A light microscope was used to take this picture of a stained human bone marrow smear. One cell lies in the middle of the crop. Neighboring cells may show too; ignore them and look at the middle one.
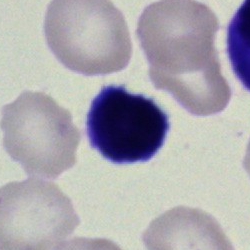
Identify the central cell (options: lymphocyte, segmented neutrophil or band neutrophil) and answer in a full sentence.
The cell at the middle of the crop is recognized as a lymphocyte.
